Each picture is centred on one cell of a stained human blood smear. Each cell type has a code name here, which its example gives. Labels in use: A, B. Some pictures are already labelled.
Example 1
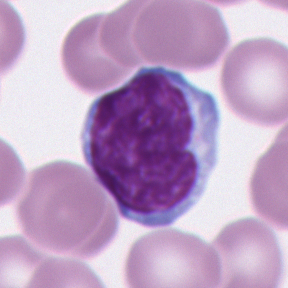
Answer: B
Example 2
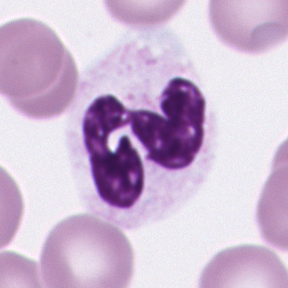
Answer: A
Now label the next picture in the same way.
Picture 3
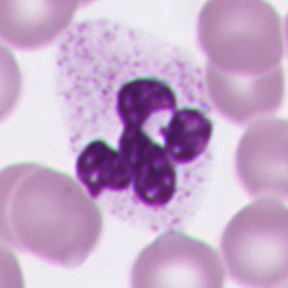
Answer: A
